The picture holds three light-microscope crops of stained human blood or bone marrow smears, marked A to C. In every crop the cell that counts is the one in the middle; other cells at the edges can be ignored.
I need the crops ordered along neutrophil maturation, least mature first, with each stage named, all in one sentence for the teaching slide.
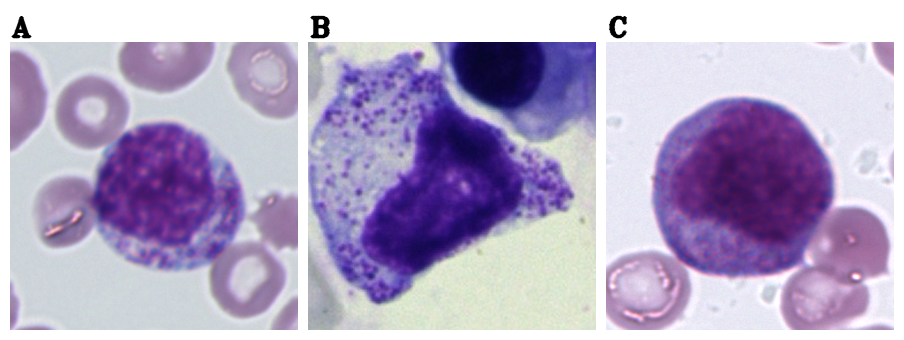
Ordered by maturation stage, least mature first, these are crop C (a promyelocyte), crop A (a myelocyte) and crop B (a metamyelocyte).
